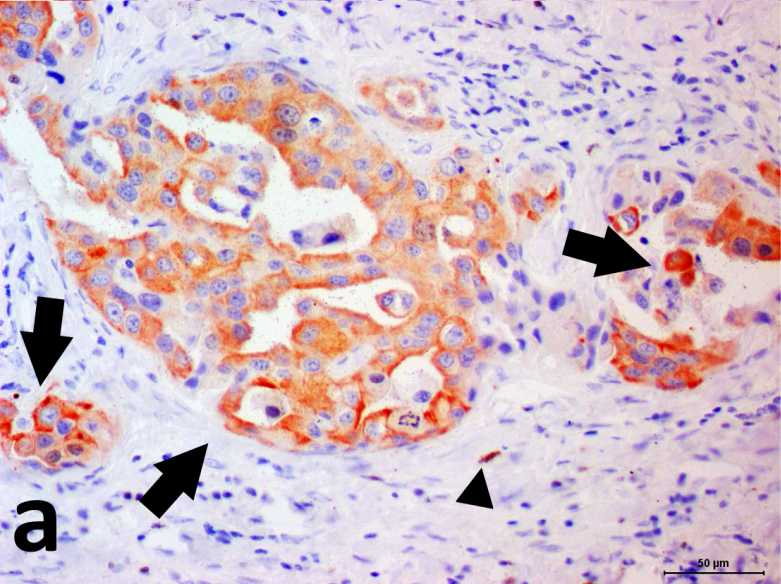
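Nests of neoplastic epithelial cells lie in a pale fibrous stroma containing scattered spindle-shaped cells with blue nuclei. The tumour cells are large, polygonal, with round to oval blue nuclei, fine chromatin and visible nucleoli, and abundant cytoplasm stained red-orange, most intensely along the borders of irregular gland-like lumens. The largest nest forms a complex, branching glandular structure, and smaller clusters of similar cells lie separately in the stroma. A single small cell with an elongated brown nucleus lies in the stroma outside the nests.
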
